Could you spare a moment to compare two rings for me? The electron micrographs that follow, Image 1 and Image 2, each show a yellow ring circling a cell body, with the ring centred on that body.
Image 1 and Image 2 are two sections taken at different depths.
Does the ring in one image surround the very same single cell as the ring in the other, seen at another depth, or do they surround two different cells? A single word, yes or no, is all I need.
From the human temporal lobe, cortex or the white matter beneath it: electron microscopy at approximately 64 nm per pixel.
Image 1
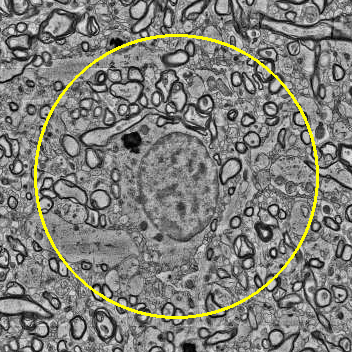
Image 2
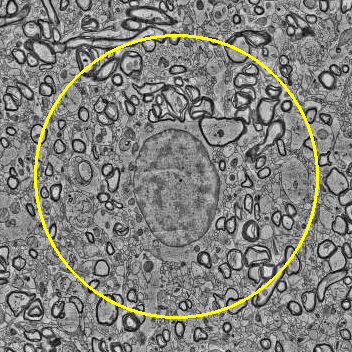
yes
